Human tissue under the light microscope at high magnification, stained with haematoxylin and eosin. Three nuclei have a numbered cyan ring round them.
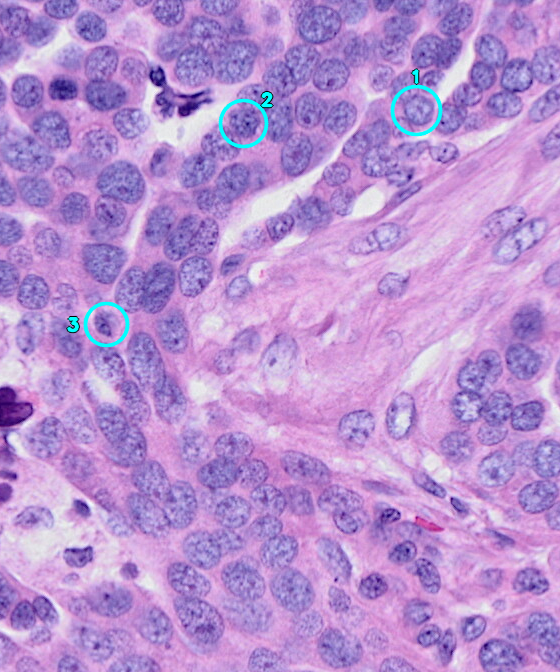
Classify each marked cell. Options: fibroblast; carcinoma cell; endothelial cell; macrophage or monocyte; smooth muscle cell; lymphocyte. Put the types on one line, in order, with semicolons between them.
carcinoma cell; carcinoma cell; macrophage or monocyte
